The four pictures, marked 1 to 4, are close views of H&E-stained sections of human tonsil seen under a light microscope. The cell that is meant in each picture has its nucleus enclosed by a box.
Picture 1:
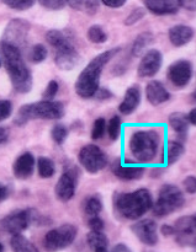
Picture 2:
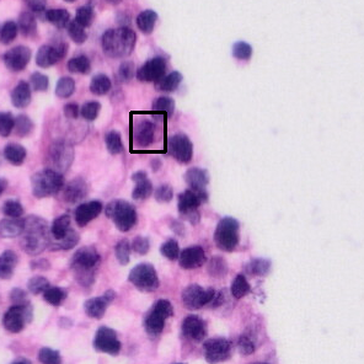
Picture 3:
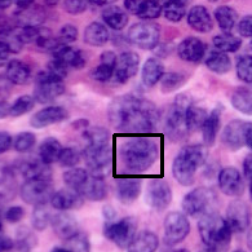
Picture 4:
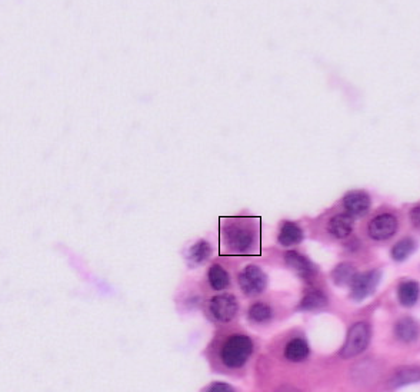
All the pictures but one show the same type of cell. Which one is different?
4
